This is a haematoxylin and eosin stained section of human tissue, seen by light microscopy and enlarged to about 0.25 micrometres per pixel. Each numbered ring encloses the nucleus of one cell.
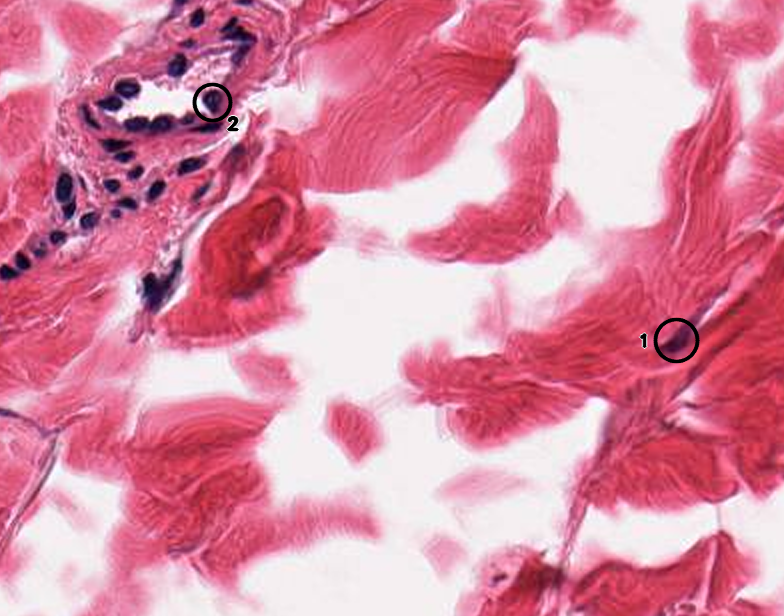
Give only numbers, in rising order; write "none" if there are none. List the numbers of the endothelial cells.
2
